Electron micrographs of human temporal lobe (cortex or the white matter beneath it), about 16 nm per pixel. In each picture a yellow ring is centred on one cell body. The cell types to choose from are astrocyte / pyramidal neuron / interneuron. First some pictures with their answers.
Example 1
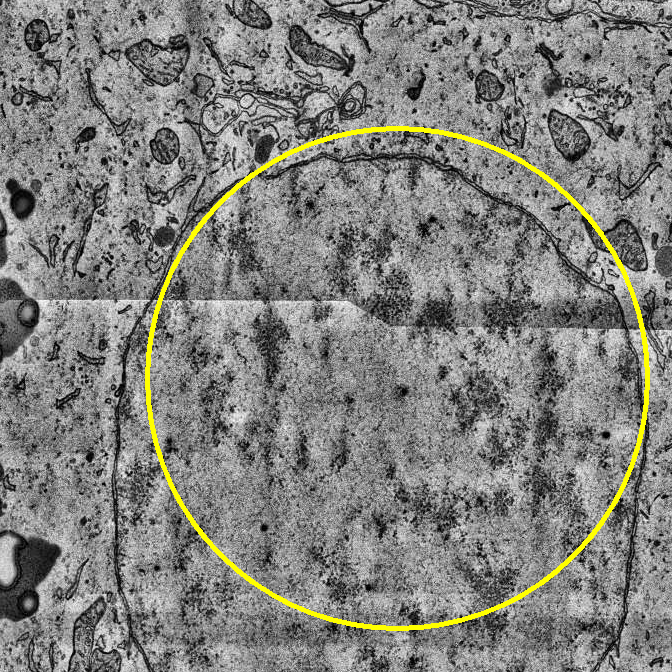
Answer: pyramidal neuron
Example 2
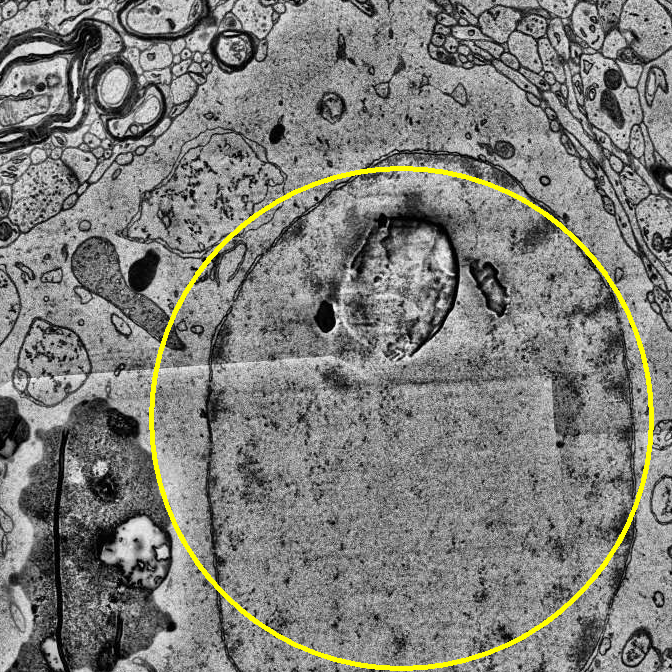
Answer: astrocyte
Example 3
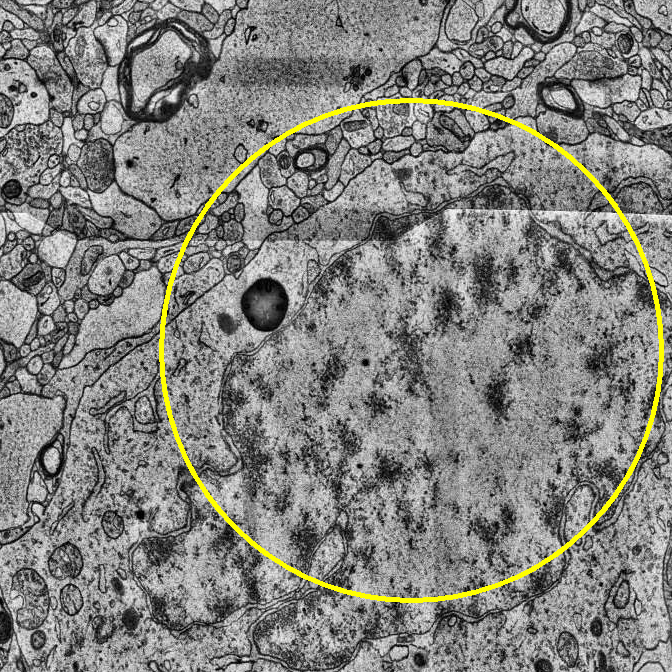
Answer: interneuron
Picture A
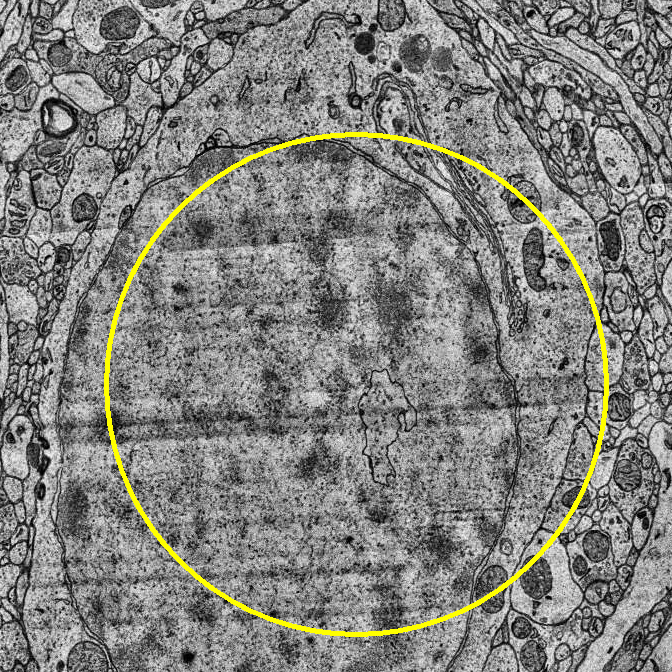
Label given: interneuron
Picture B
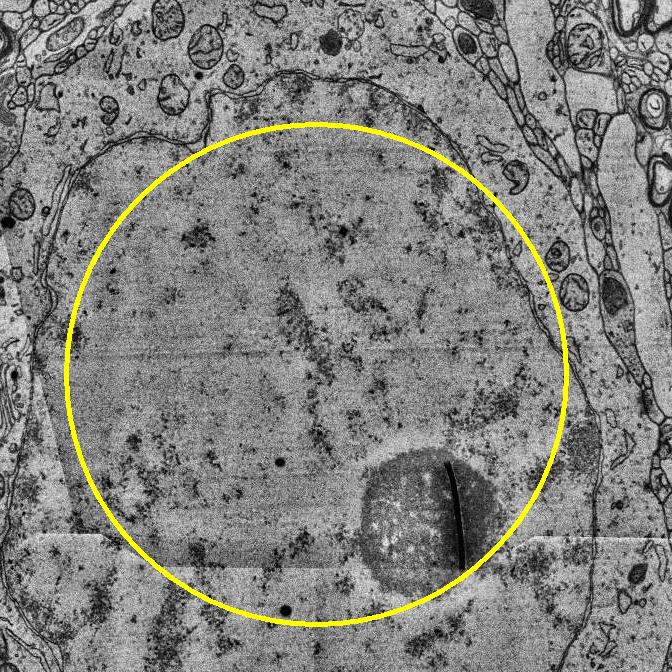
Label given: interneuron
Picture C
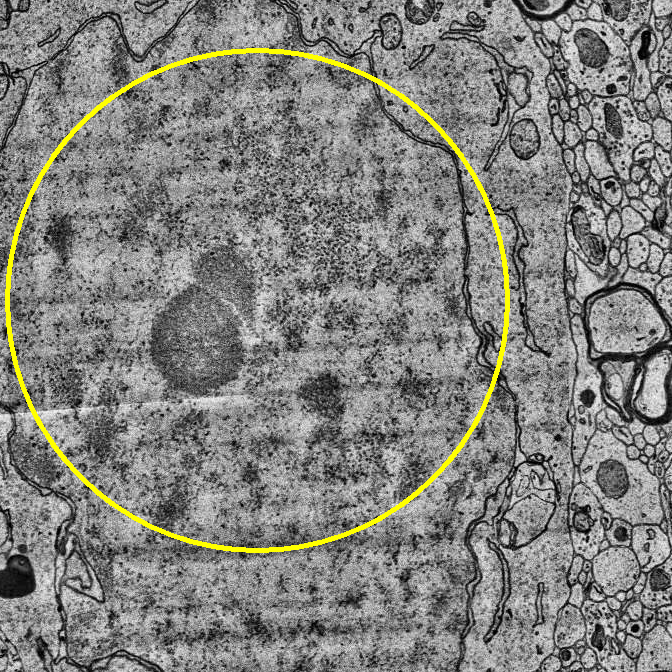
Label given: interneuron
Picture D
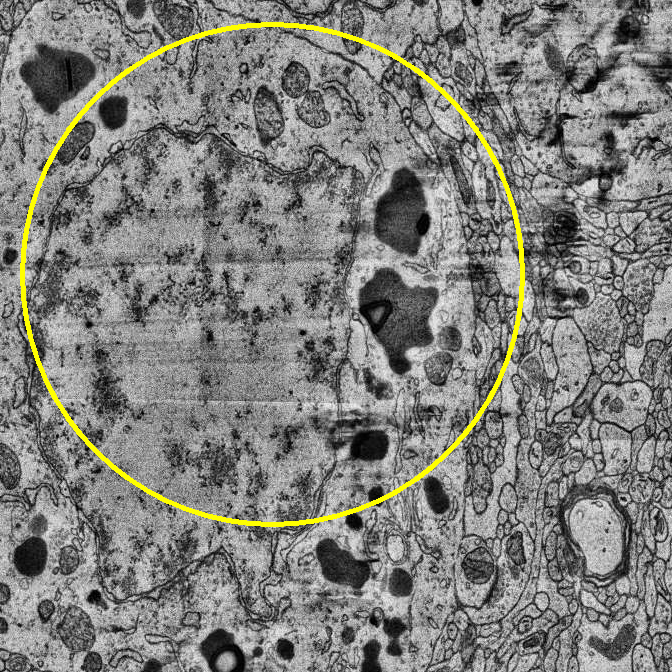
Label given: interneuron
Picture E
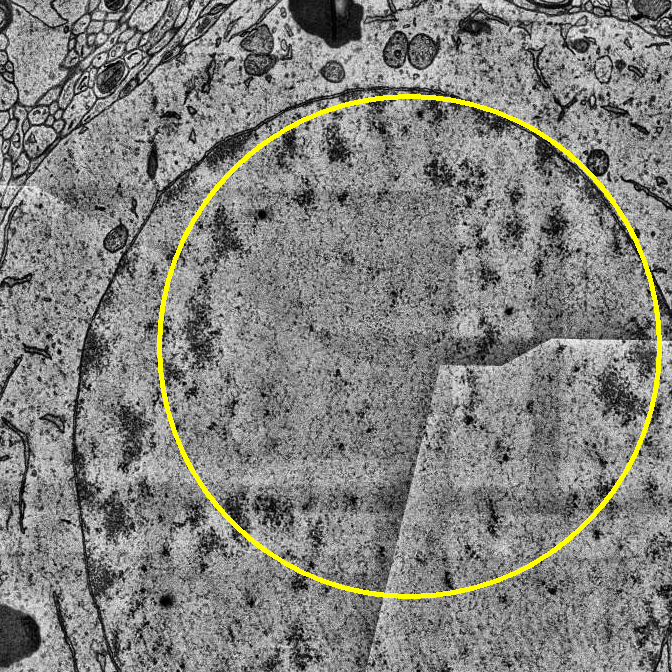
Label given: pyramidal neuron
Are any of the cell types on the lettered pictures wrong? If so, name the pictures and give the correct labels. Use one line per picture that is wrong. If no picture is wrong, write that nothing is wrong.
None of the labels needs changing.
